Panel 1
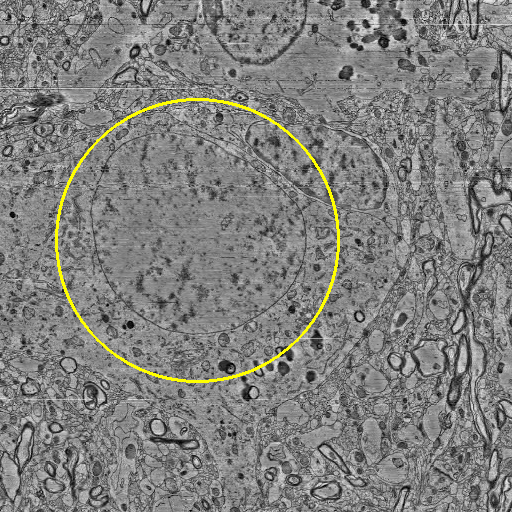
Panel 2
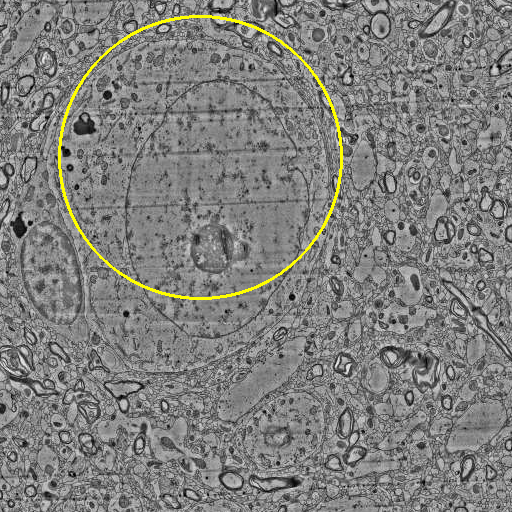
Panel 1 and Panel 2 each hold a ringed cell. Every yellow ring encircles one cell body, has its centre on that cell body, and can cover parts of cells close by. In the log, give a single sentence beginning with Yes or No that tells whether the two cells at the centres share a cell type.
Yes, in Panel 1 and Panel 2 the centred cells share a cell type.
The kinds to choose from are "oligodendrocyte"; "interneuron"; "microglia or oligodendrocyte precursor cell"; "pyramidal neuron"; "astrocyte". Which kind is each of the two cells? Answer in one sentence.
Each of the ringed cells, first and second, is a pyramidal neuron.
